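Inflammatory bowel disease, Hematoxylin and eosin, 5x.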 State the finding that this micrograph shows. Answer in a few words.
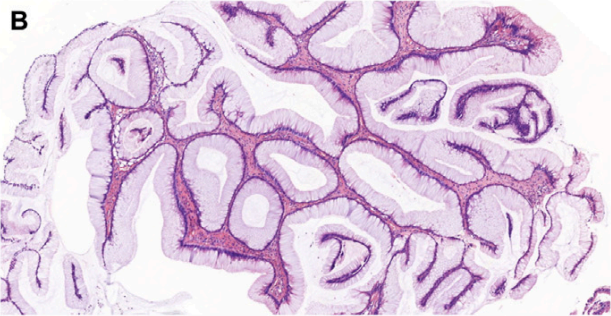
Hypermucinous dysplasia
